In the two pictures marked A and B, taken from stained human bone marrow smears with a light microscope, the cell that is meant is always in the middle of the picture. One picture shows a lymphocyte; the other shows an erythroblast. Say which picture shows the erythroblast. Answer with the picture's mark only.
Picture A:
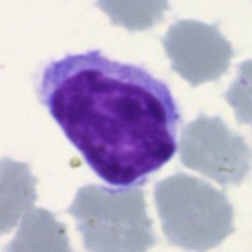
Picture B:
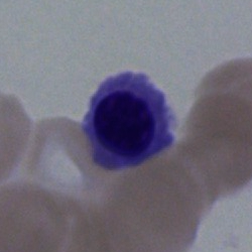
B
